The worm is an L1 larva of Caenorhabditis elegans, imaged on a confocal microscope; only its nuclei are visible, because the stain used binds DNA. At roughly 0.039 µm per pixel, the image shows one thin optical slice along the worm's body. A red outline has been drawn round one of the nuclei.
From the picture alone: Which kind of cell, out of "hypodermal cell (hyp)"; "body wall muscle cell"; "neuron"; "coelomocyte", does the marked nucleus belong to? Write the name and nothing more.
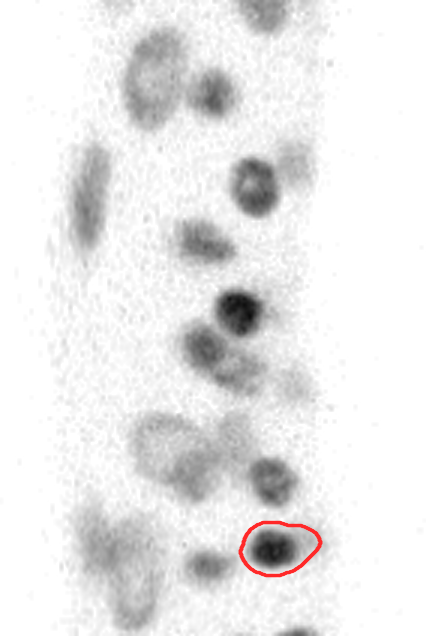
coelomocyte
